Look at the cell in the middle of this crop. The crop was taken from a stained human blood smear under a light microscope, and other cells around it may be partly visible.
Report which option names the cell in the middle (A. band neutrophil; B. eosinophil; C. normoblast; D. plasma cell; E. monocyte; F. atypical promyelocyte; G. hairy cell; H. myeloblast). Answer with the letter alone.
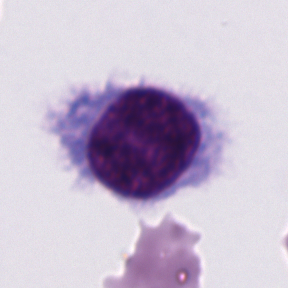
G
